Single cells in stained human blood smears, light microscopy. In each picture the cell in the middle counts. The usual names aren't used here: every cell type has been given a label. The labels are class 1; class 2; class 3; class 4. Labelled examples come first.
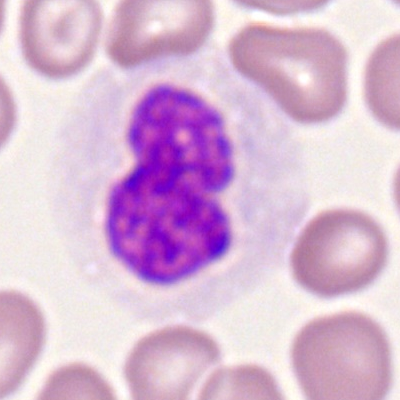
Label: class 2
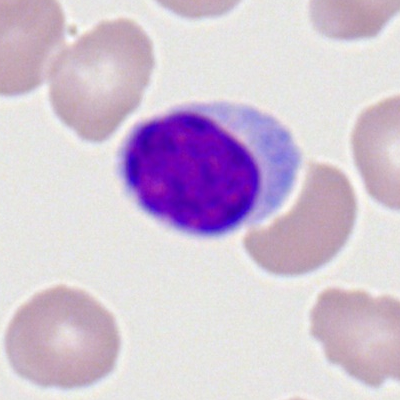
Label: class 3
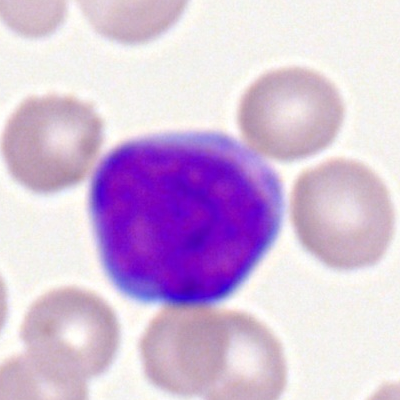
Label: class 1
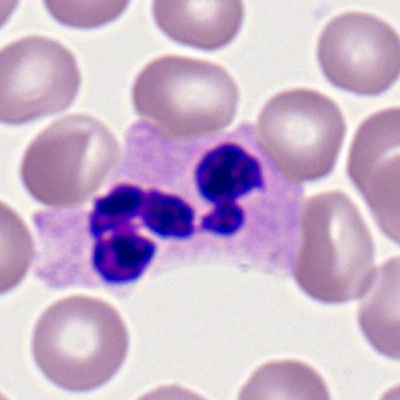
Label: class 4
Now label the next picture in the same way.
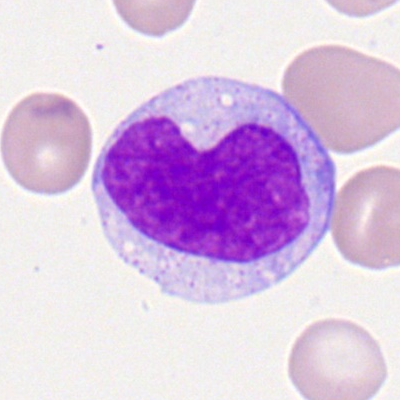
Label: class 2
